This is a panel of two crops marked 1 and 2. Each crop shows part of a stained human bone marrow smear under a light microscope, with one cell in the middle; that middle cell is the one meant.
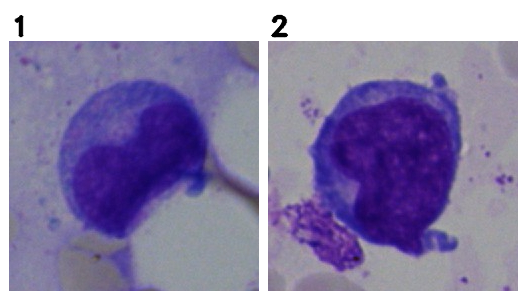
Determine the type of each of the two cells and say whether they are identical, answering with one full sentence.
No, enter a monocyte for crop 1 and a blast for crop 2.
